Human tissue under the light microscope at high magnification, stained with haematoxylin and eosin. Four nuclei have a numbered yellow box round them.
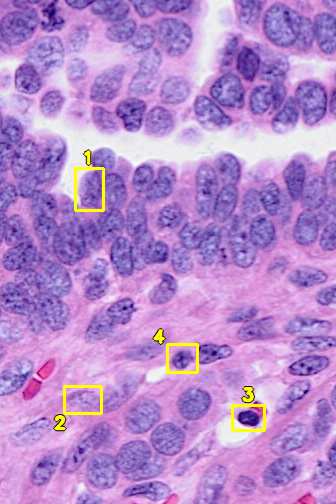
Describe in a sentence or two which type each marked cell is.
Cell 1 is a carcinoma cell, cell 2 is a fibroblast, cell 3 is a lymphocyte and cell 4 is a lymphocyte.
